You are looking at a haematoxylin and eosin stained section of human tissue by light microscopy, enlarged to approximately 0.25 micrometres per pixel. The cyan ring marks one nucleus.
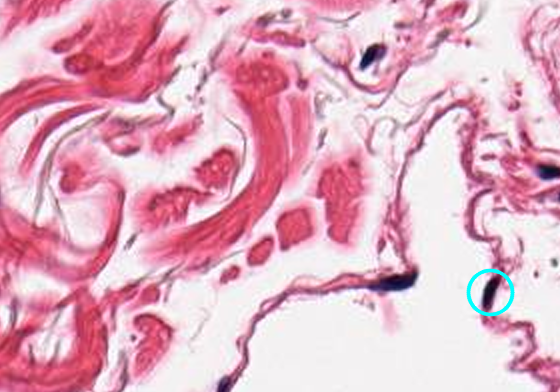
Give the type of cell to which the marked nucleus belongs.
endothelial cell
